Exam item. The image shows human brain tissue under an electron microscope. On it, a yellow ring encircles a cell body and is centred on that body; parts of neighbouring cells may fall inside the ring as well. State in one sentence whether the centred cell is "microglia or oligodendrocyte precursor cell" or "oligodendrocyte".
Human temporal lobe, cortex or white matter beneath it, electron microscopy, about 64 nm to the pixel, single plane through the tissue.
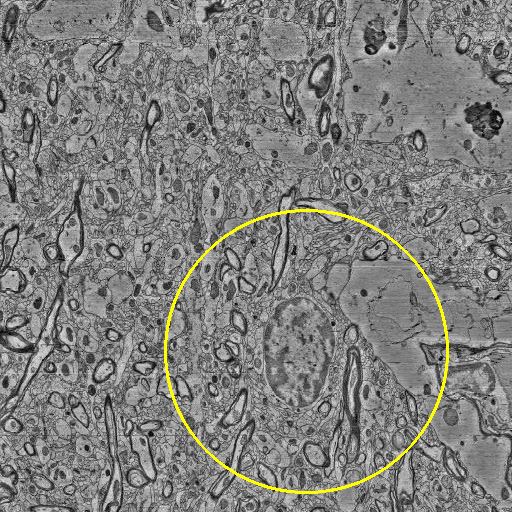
The cell body centred in the ring is a microglial cell or oligodendrocyte precursor cell.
